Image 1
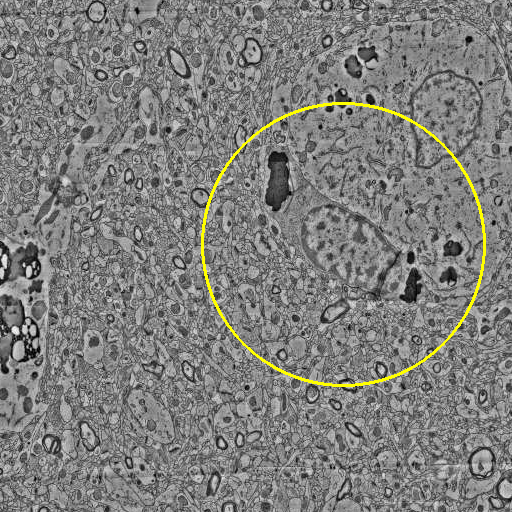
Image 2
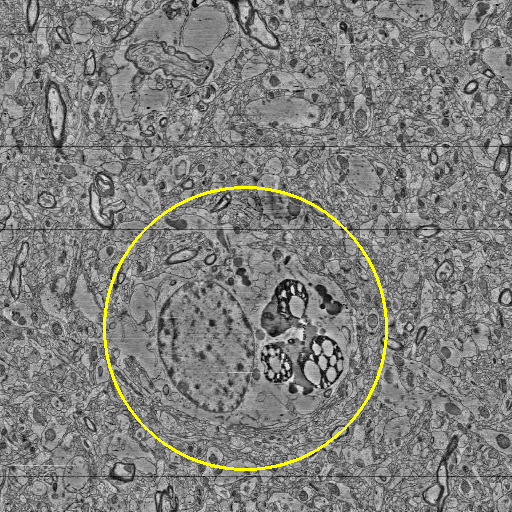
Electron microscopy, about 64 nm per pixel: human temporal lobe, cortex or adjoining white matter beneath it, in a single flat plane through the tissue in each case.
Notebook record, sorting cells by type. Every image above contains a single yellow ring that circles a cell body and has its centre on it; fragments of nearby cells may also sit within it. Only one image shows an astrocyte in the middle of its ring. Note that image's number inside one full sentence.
For image 2, the cell in the middle of its yellow ring is the match.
